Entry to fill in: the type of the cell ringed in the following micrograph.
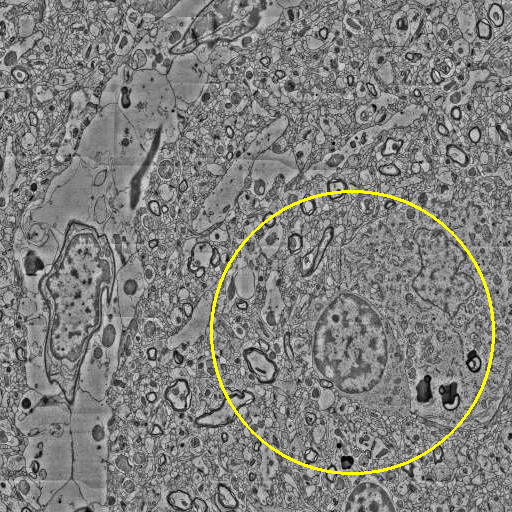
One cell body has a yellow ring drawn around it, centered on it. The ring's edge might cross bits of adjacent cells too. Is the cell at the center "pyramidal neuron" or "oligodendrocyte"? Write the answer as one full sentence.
This entry names an oligodendrocyte as the cell whose body lies at the ring's center.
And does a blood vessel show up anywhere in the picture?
Yes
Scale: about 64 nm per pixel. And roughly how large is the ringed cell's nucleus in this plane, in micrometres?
In this plane the nucleus is about 6 micrometres by 5.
